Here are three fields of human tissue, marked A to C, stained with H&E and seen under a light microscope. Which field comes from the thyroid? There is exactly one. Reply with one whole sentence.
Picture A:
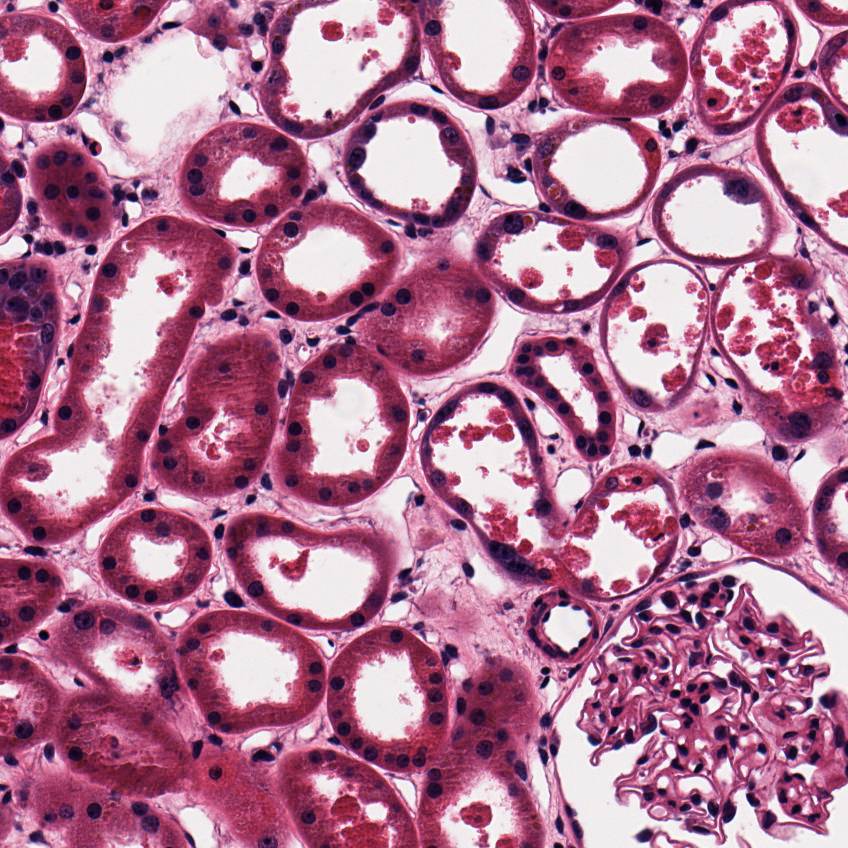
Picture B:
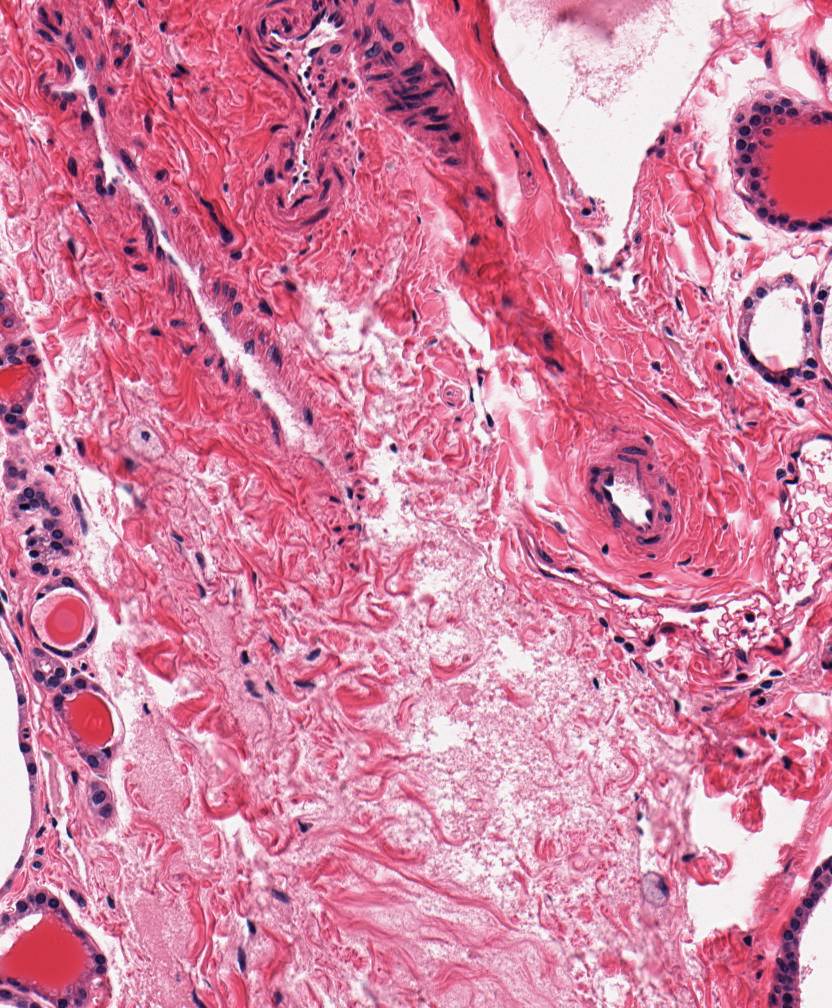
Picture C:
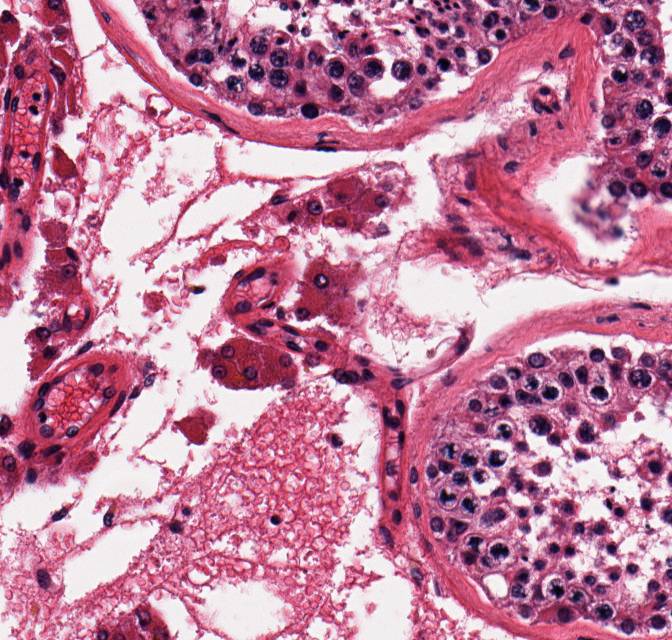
Picture B is the field that comes from the thyroid.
